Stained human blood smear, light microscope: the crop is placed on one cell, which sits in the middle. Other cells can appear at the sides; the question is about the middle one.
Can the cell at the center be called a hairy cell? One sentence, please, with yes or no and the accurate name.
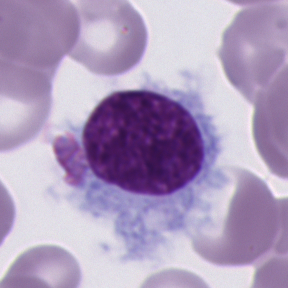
Yes, the cell that the crop is centered on is a hairy cell.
